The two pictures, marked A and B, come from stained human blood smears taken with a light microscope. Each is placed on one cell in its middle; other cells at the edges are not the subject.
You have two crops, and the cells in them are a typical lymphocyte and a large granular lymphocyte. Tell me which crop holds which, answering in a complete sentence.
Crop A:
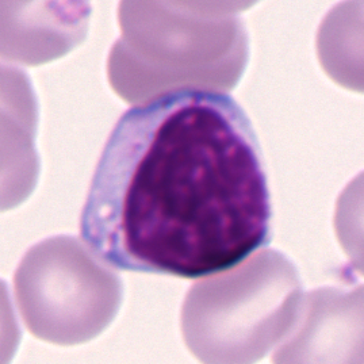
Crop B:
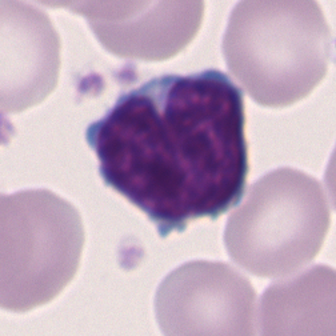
Crop A has a large granular lymphocyte at its centre, and crop B has a typical lymphocyte.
